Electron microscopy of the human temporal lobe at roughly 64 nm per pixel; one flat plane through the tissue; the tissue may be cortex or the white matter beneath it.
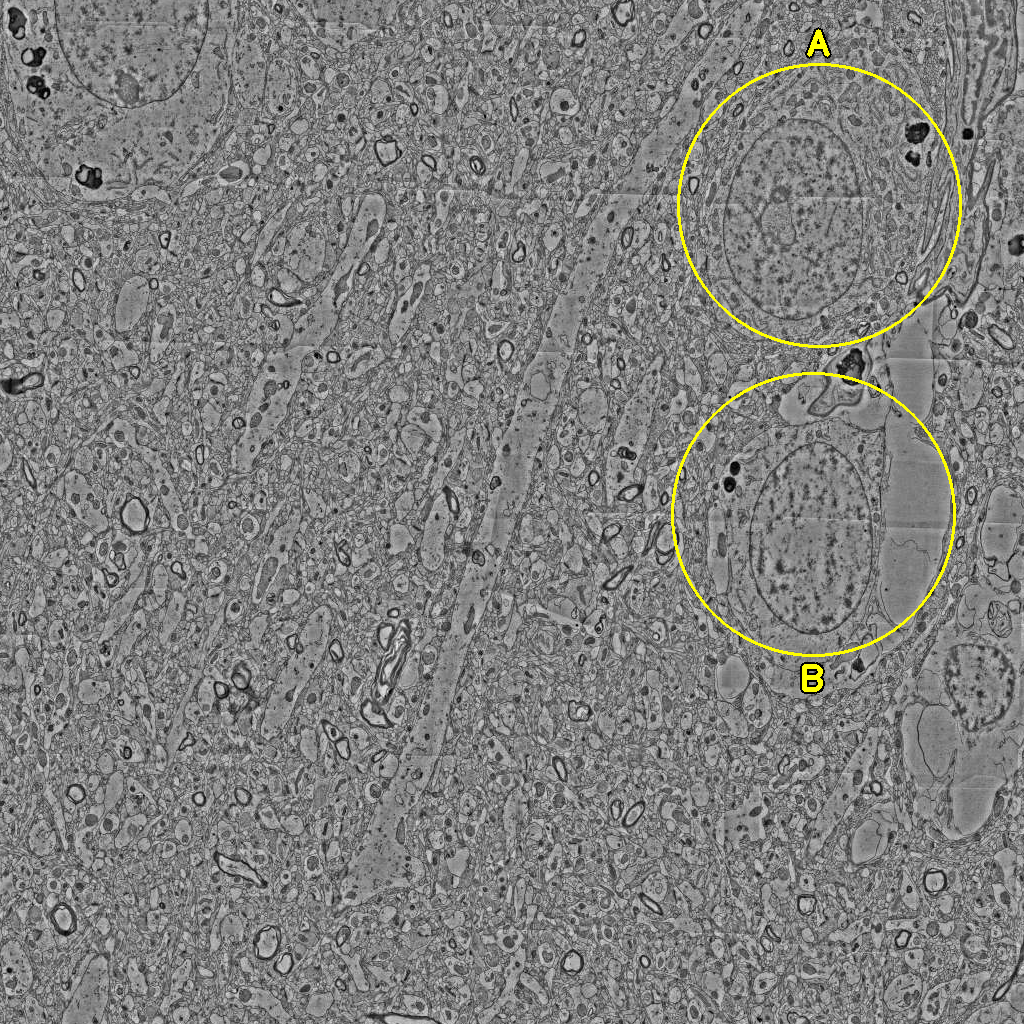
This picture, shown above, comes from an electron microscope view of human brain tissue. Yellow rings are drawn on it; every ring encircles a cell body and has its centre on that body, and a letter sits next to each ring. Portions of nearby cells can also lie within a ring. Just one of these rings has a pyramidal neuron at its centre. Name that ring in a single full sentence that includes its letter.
In the picture, ring B has the cell asked for at its centre.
